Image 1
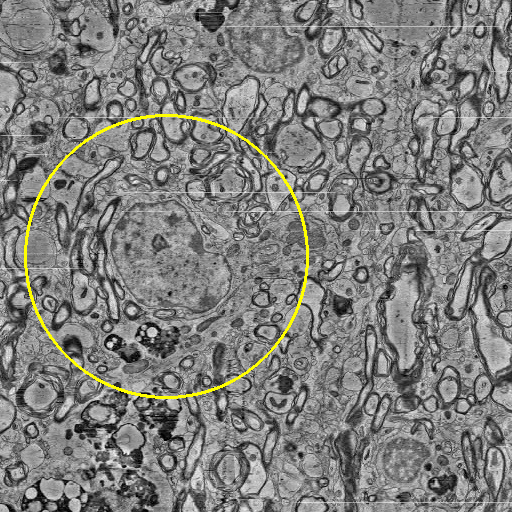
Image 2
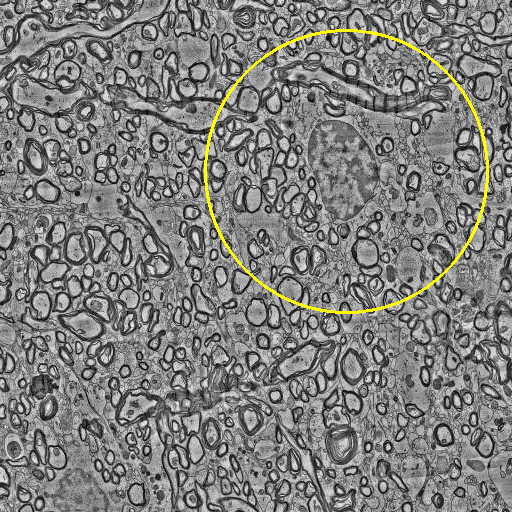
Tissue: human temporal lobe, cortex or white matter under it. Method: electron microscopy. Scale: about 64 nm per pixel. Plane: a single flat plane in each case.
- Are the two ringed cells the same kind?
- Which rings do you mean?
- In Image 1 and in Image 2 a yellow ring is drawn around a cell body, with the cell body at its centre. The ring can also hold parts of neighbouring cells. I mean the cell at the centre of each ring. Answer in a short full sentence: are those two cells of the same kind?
Yes, both cells are of the same kind.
